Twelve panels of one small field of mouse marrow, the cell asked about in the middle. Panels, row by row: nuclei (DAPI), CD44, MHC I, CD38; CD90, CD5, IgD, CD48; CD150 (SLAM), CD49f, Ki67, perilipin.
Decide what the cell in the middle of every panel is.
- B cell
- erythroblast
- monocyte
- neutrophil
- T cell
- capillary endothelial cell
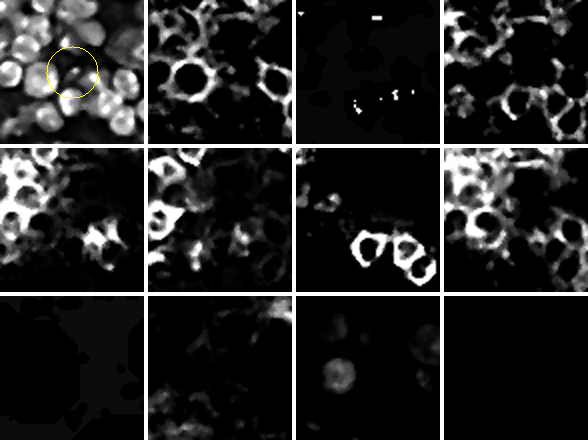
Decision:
neutrophil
